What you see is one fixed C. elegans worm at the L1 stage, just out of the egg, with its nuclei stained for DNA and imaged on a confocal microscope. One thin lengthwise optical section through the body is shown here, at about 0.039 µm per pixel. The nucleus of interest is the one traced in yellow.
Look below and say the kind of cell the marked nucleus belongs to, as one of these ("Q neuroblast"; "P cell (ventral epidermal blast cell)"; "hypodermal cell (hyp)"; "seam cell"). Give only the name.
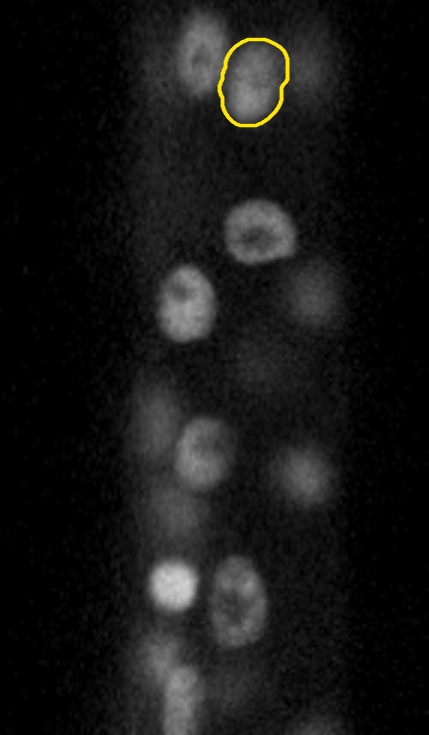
Q neuroblast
